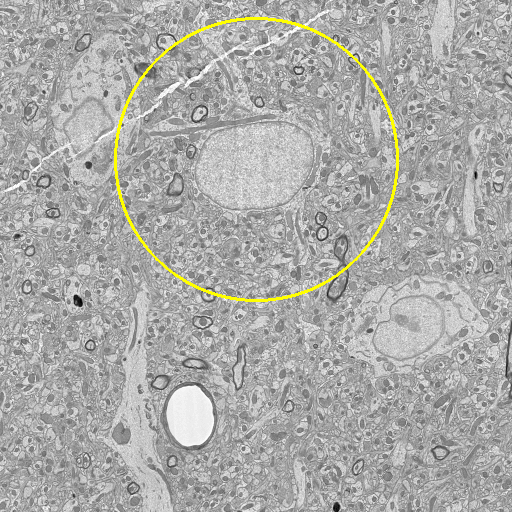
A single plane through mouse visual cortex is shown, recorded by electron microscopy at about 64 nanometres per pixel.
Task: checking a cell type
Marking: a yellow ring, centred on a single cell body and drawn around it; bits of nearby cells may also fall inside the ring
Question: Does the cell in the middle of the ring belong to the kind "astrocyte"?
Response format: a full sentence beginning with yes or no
Yes, the cell marked at the ring's centre in the picture is of that kind.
